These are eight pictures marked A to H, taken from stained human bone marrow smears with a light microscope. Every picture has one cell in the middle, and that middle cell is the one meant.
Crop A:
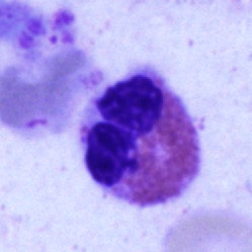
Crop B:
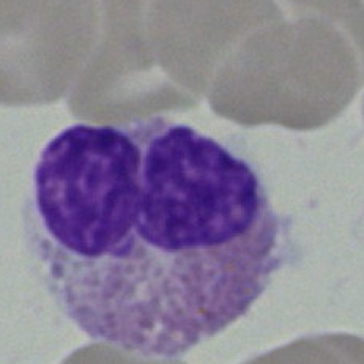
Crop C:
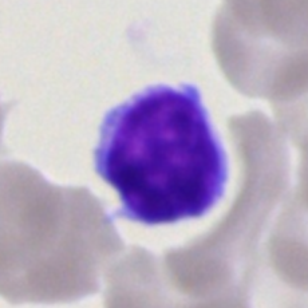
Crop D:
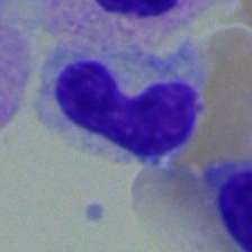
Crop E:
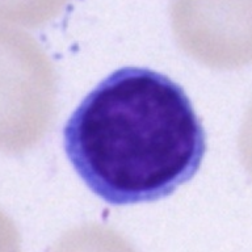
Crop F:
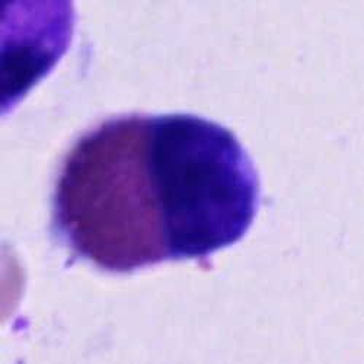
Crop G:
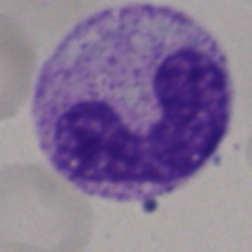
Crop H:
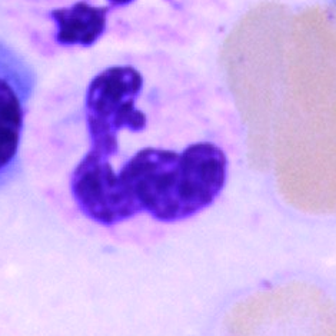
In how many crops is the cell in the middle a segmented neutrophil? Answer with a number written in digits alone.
1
